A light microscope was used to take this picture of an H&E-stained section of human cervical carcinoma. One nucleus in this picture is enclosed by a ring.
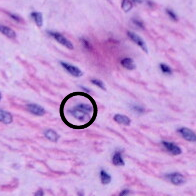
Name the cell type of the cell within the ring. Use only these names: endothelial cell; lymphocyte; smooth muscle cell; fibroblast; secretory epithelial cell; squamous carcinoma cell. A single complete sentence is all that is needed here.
Just put down that the cell within the ring is a smooth muscle cell.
